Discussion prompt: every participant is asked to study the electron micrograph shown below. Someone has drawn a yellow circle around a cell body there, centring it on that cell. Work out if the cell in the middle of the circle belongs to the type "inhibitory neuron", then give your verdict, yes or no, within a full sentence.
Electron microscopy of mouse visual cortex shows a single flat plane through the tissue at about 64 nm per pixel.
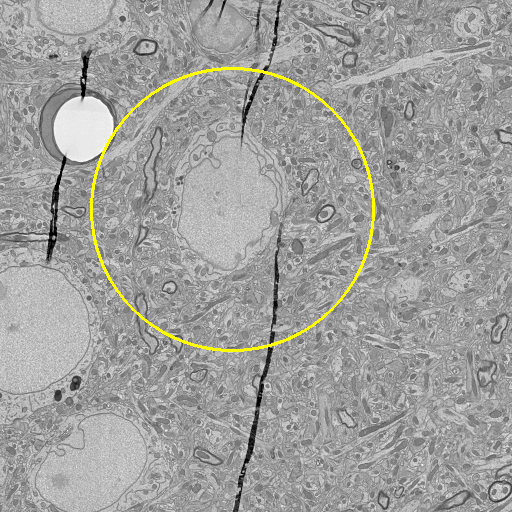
Yes, my verdict is that the cell in the circle's centre is of that type.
